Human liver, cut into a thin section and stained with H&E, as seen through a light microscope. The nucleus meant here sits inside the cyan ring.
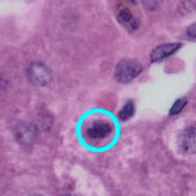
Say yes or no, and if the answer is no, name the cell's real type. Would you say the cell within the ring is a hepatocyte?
No, it is a fibroblast or stellate cell.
